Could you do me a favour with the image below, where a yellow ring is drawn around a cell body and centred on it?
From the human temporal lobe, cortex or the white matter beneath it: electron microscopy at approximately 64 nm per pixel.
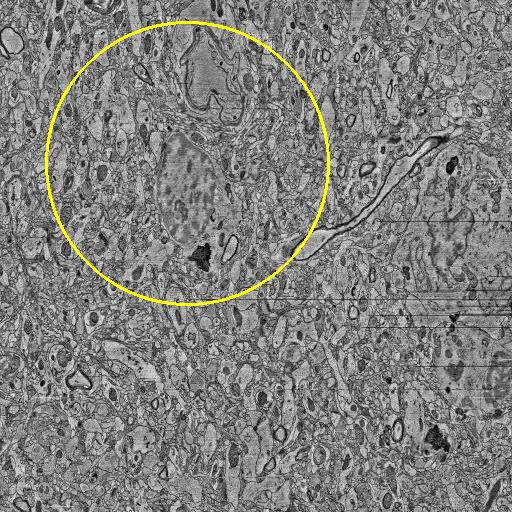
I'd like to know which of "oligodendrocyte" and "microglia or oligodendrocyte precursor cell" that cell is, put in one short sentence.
The cell at the ring's centre is an oligodendrocyte.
